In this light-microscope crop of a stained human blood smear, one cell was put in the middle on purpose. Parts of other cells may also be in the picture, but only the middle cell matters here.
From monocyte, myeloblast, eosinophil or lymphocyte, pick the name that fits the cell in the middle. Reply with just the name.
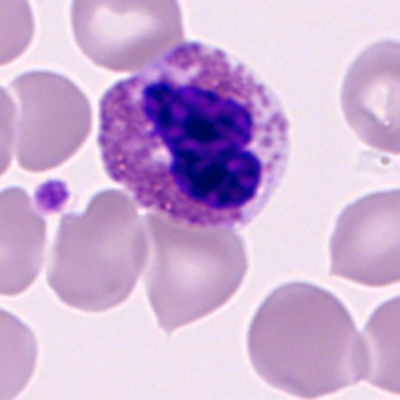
eosinophil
